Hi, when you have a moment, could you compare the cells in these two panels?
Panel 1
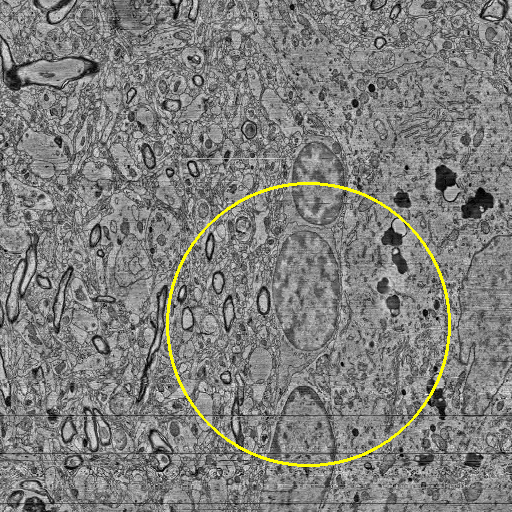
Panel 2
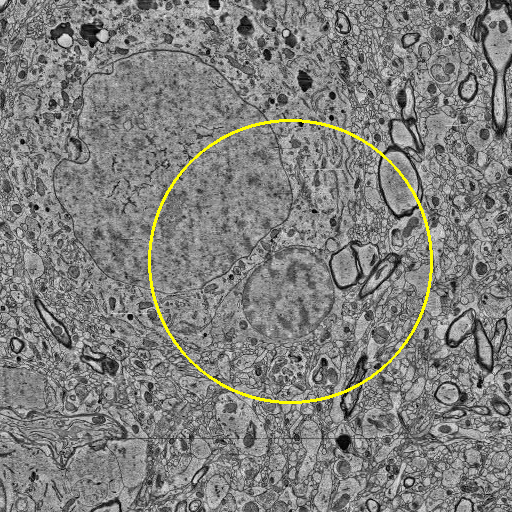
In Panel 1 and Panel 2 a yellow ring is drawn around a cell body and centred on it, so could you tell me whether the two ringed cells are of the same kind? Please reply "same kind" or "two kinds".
same kind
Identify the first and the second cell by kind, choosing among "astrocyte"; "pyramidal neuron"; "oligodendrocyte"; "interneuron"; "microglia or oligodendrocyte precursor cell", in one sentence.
In each of the two pictures, the ringed cell is an oligodendrocyte.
